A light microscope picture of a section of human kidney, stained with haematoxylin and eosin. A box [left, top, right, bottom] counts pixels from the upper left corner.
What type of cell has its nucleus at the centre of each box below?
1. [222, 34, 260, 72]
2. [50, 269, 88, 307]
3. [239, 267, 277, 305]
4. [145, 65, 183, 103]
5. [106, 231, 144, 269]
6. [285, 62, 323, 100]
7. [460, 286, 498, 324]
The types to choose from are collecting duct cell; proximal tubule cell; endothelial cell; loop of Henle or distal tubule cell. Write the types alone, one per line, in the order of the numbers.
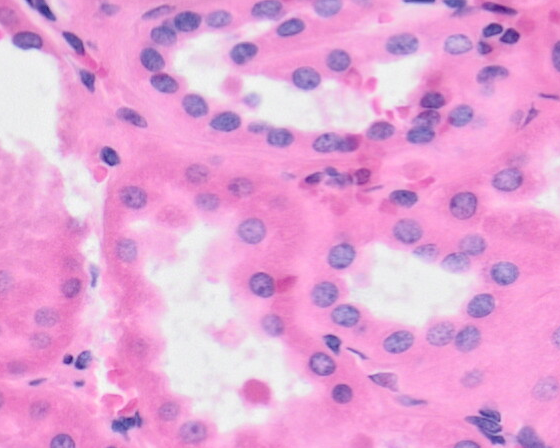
loop of Henle or distal tubule cell
proximal tubule cell
proximal tubule cell
loop of Henle or distal tubule cell
proximal tubule cell
loop of Henle or distal tubule cell
loop of Henle or distal tubule cell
